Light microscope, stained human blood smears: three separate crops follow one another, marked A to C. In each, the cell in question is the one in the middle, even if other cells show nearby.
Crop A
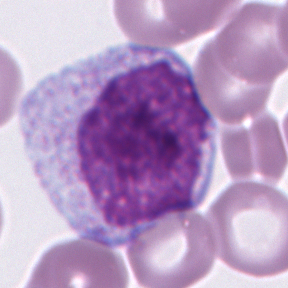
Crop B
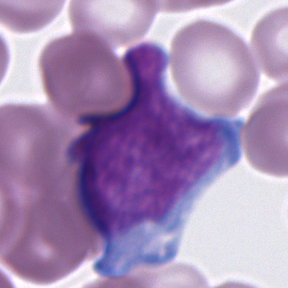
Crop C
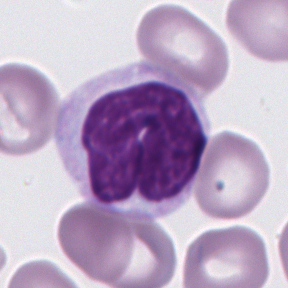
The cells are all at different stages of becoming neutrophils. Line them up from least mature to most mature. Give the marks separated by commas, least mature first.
B, A, C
